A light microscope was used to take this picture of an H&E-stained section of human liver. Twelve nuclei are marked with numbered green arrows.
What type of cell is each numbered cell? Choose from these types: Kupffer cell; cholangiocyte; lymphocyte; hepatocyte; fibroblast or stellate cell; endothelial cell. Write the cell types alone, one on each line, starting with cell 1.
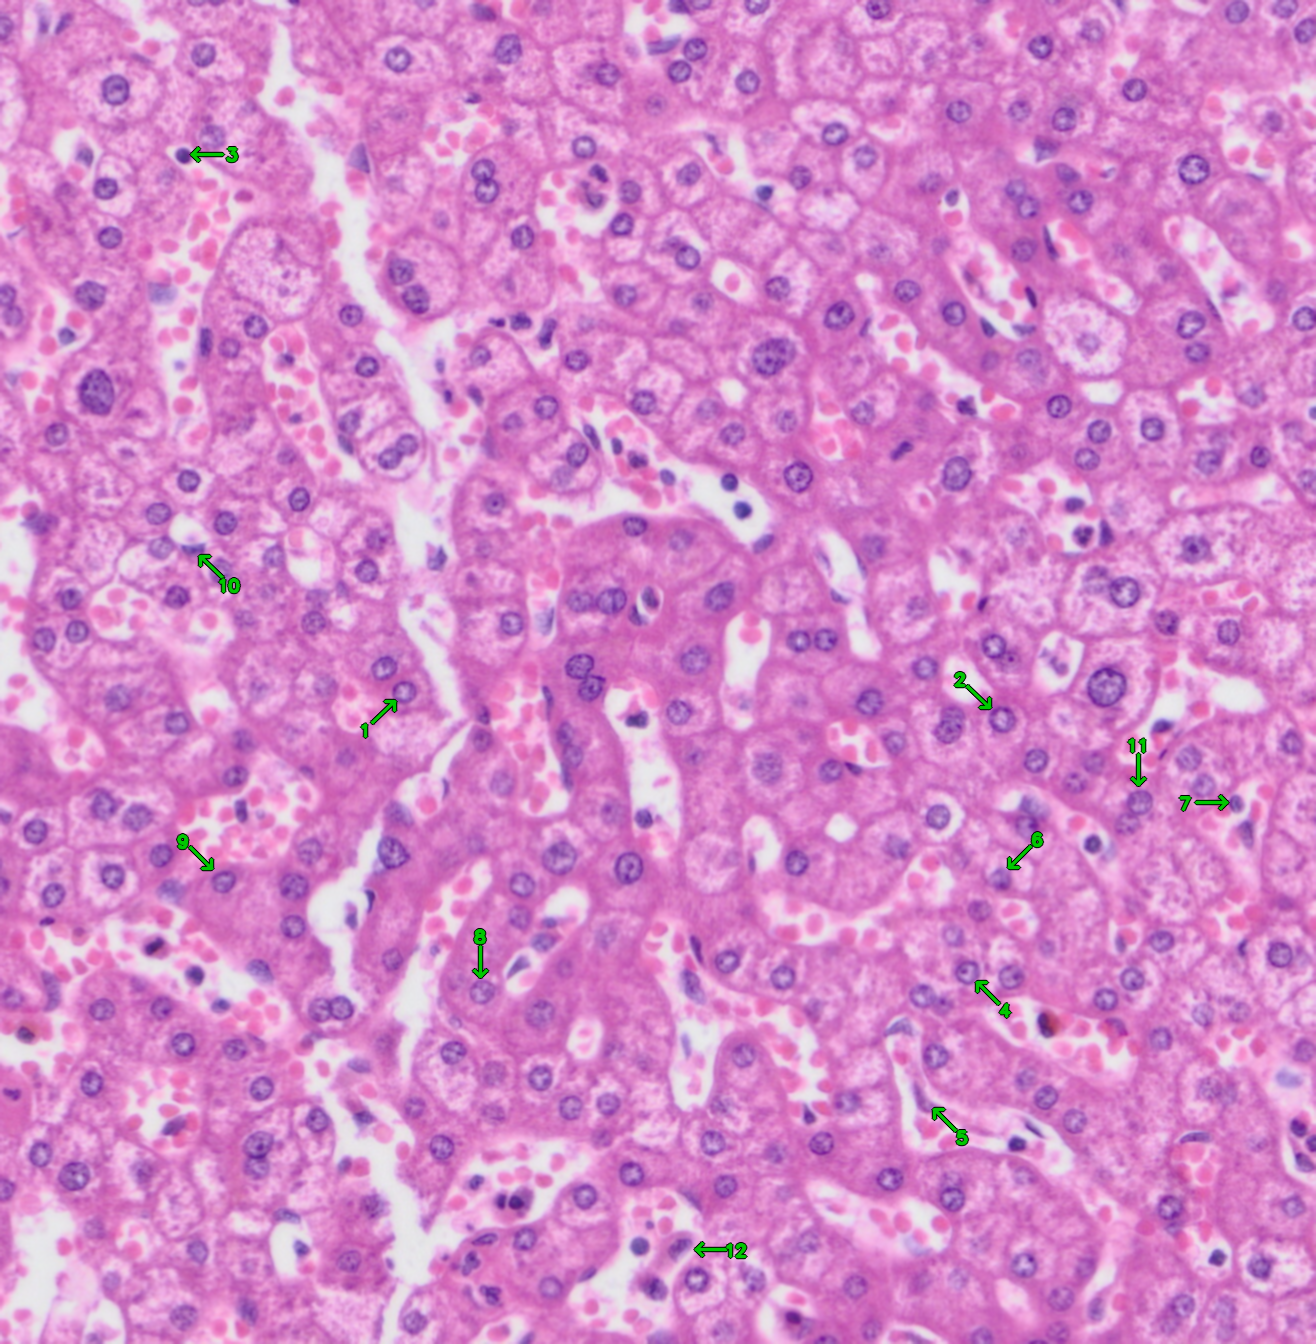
hepatocyte
hepatocyte
lymphocyte
hepatocyte
Kupffer cell
hepatocyte
lymphocyte
hepatocyte
hepatocyte
endothelial cell
hepatocyte
Kupffer cell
